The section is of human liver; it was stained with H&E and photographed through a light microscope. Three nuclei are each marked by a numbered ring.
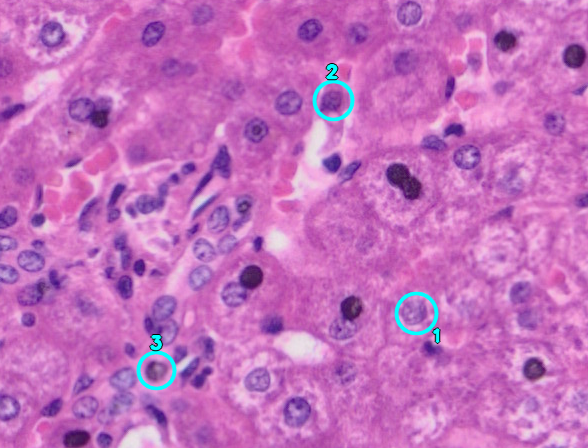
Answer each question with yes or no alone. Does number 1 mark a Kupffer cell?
no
